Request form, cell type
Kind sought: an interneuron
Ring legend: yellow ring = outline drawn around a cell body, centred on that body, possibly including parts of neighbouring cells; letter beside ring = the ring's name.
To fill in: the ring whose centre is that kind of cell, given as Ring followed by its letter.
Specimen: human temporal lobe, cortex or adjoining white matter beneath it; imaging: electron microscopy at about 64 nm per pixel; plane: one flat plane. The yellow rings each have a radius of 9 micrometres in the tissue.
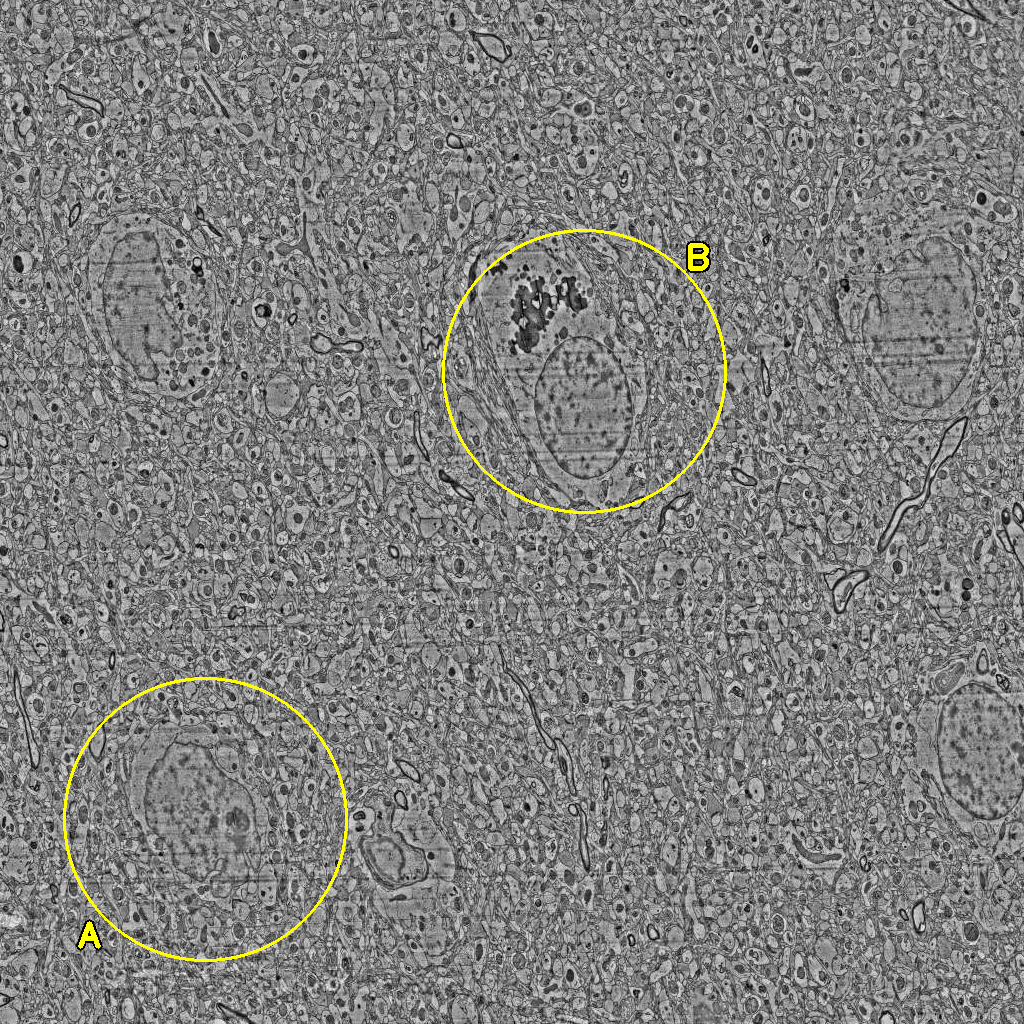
Ring A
